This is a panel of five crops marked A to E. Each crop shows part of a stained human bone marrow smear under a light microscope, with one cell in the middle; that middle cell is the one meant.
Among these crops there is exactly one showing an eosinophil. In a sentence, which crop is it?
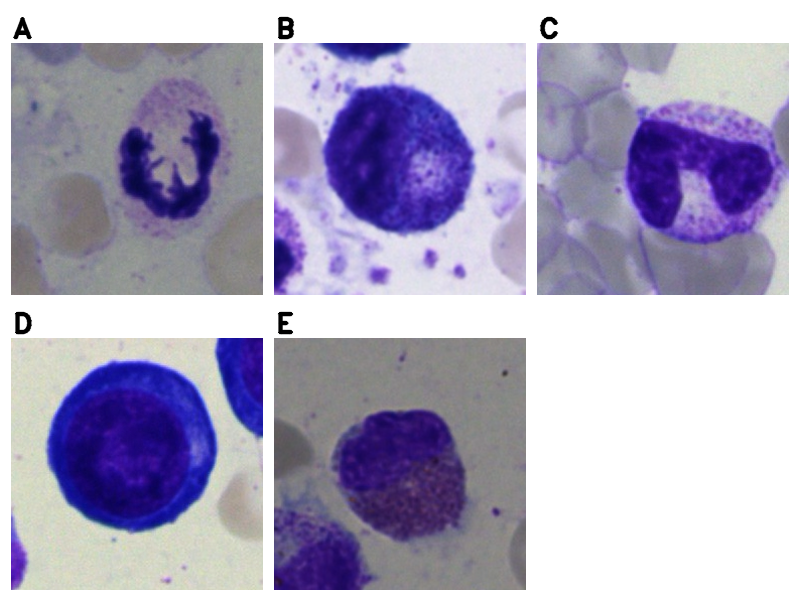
Among these crops, crop E holds an eosinophil.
